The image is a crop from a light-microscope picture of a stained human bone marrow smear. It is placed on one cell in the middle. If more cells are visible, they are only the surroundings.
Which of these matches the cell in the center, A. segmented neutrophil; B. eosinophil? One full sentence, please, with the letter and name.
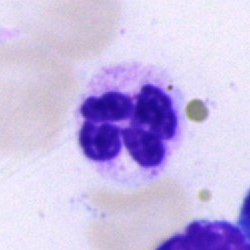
It is a segmented neutrophil that occupies the centre of the crop, so option A is correct.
